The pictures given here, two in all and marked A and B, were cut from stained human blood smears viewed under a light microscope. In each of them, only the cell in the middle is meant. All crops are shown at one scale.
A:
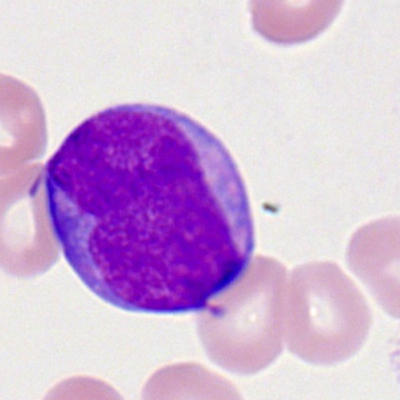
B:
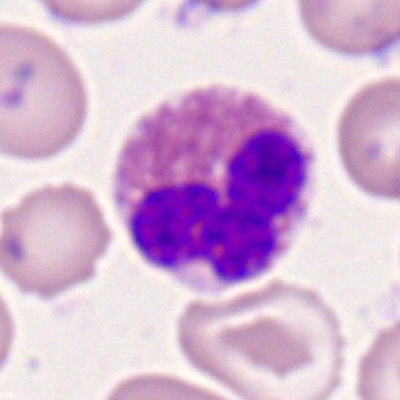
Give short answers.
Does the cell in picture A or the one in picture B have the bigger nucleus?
A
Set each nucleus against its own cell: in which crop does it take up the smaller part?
B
